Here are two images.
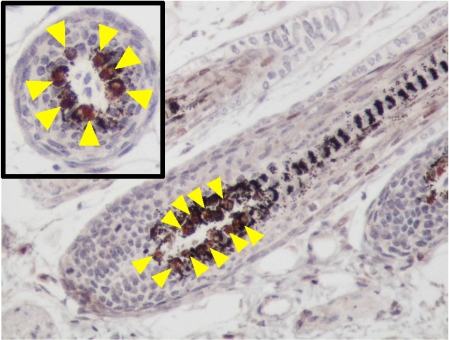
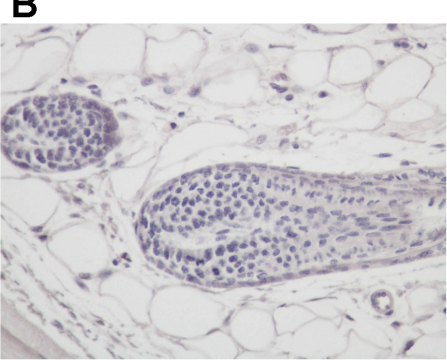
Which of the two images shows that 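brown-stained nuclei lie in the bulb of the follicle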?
The first image.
